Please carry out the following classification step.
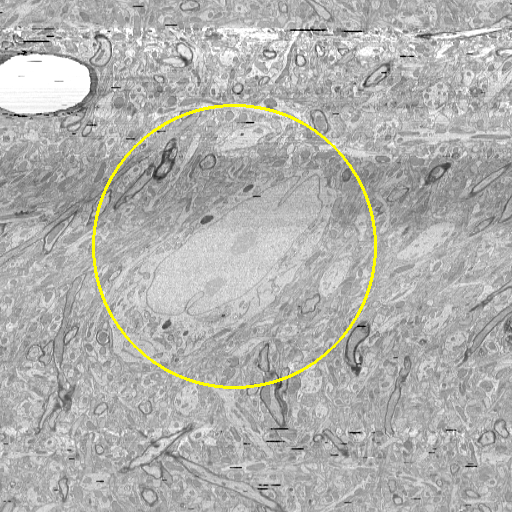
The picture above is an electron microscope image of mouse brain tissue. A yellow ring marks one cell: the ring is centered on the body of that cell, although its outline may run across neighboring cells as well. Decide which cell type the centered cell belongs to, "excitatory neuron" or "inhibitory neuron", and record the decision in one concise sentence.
The cell centered in the yellow ring is an excitatory neuron.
